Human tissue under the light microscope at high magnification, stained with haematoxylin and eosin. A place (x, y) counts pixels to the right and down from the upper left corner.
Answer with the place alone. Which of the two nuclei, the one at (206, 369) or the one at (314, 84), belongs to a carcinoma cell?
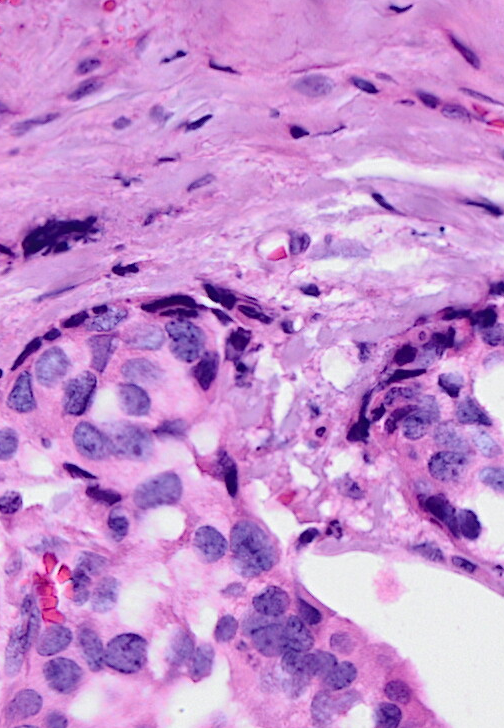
(206, 369)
